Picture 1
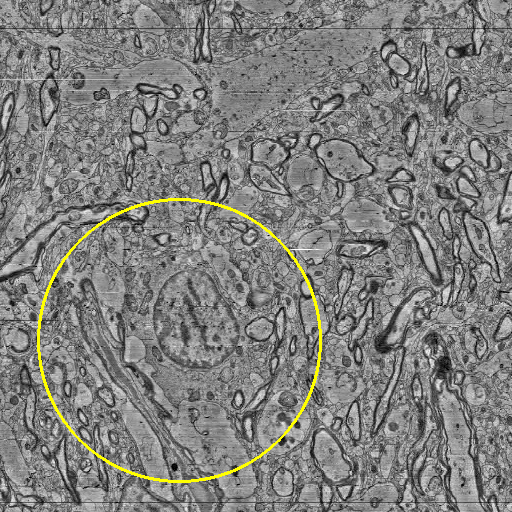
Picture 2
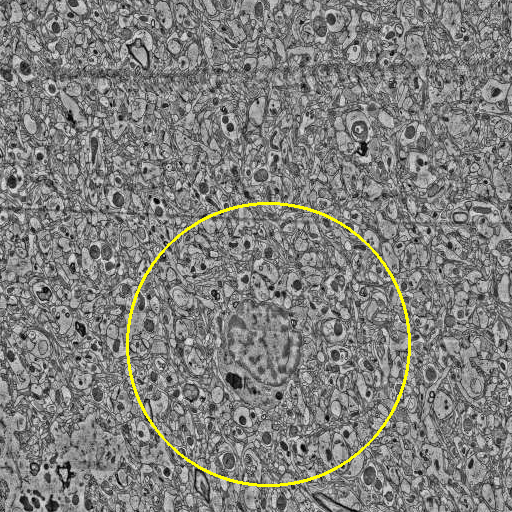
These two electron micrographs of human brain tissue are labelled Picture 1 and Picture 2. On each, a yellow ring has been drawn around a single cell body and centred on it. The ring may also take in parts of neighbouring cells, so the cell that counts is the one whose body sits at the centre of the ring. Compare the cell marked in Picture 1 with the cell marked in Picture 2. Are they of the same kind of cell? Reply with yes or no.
yes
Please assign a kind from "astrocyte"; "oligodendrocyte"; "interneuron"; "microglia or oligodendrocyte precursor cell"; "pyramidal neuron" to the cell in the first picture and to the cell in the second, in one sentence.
Both cells are the same kind, each one being an oligodendrocyte.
